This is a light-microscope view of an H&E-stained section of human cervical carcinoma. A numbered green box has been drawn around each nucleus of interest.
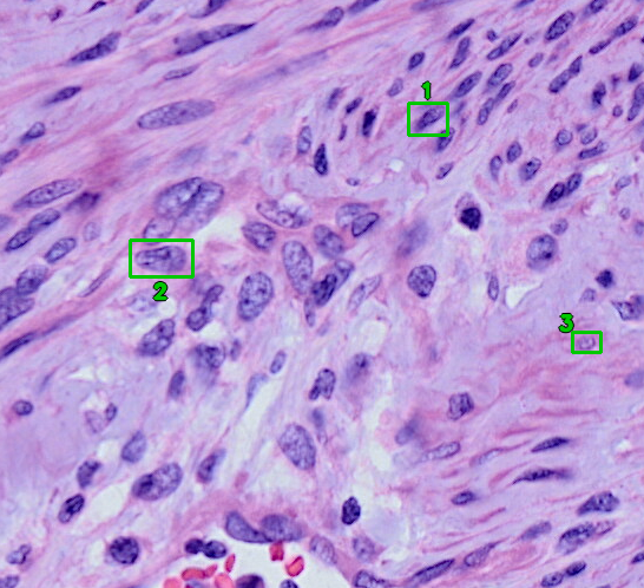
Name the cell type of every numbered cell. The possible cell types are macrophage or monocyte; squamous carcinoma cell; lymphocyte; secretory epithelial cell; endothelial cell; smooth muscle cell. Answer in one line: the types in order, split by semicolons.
smooth muscle cell; endothelial cell; smooth muscle cell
